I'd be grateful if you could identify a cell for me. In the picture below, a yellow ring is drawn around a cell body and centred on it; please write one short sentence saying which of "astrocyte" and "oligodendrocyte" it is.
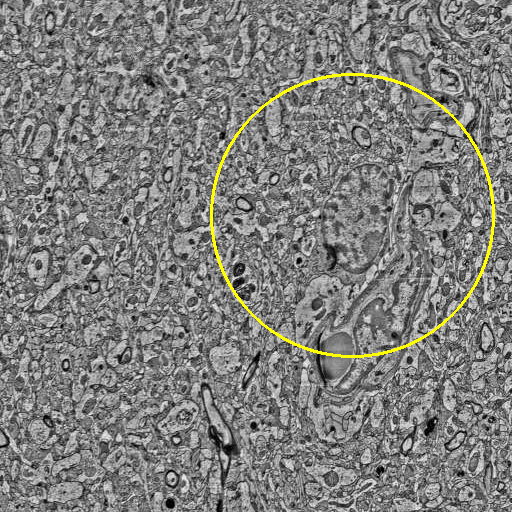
The cell under the ring's centre is an oligodendrocyte.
